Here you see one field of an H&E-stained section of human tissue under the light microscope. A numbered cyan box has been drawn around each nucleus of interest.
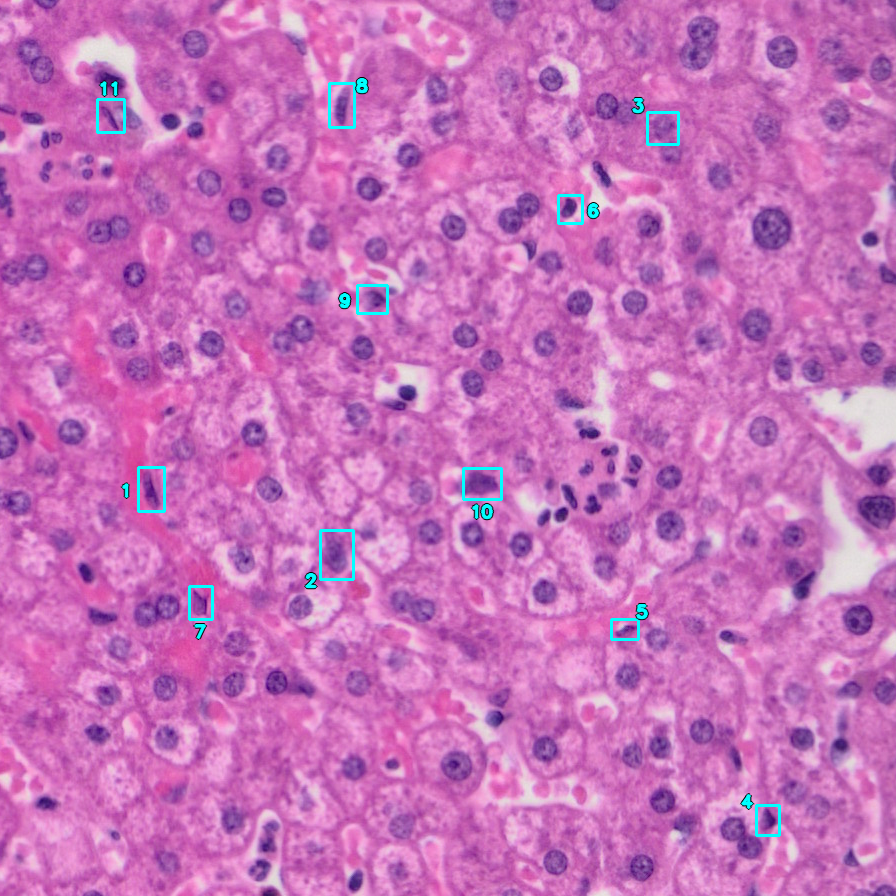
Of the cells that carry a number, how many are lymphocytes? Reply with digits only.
1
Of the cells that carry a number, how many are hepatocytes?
1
